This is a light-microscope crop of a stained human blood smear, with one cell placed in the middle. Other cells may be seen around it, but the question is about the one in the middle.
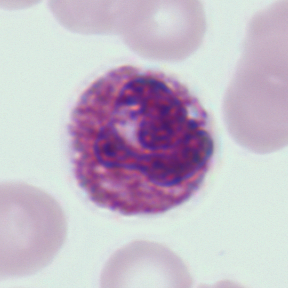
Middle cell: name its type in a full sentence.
The cell at the centre of the field is an eosinophil.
